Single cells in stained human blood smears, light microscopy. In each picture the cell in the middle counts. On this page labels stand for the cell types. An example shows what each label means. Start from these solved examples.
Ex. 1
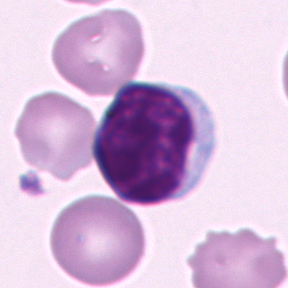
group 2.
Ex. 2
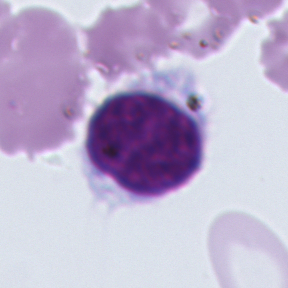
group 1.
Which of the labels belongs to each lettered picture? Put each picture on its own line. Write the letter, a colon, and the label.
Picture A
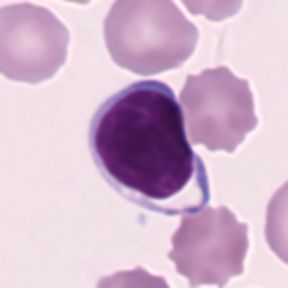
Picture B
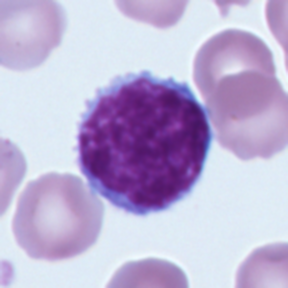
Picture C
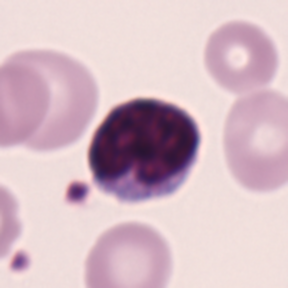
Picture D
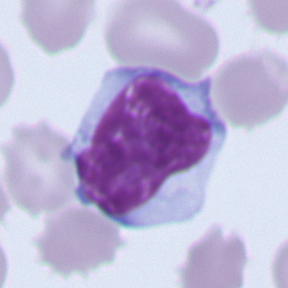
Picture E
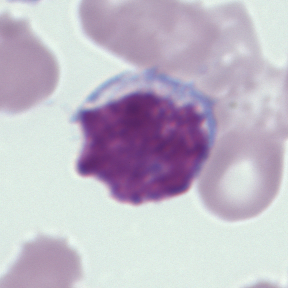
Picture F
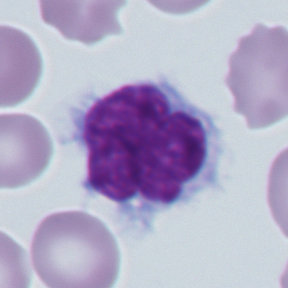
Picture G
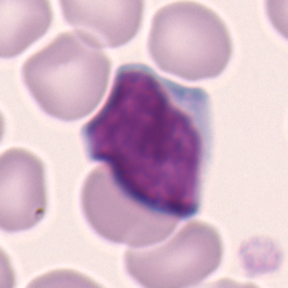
A: group 2.
B: group 2.
C: group 2.
D: group 2.
E: group 2.
F: group 1.
G: group 2.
